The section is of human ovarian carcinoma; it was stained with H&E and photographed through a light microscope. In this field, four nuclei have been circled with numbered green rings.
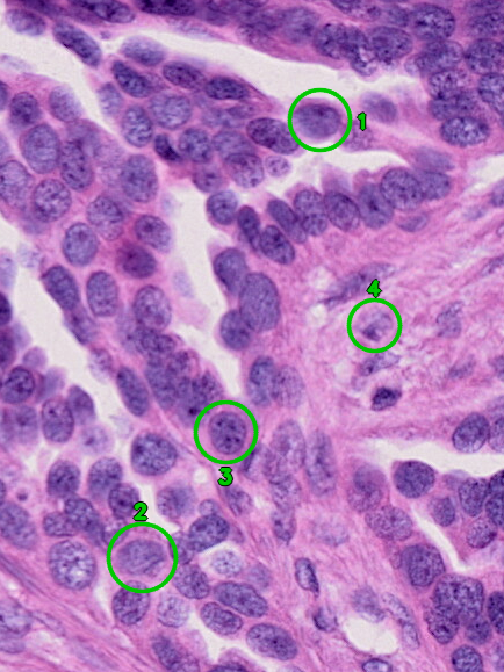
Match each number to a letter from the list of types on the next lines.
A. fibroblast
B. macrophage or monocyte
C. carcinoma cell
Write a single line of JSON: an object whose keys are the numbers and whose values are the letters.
{"1": "C", "2": "C", "3": "C", "4": "A"}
